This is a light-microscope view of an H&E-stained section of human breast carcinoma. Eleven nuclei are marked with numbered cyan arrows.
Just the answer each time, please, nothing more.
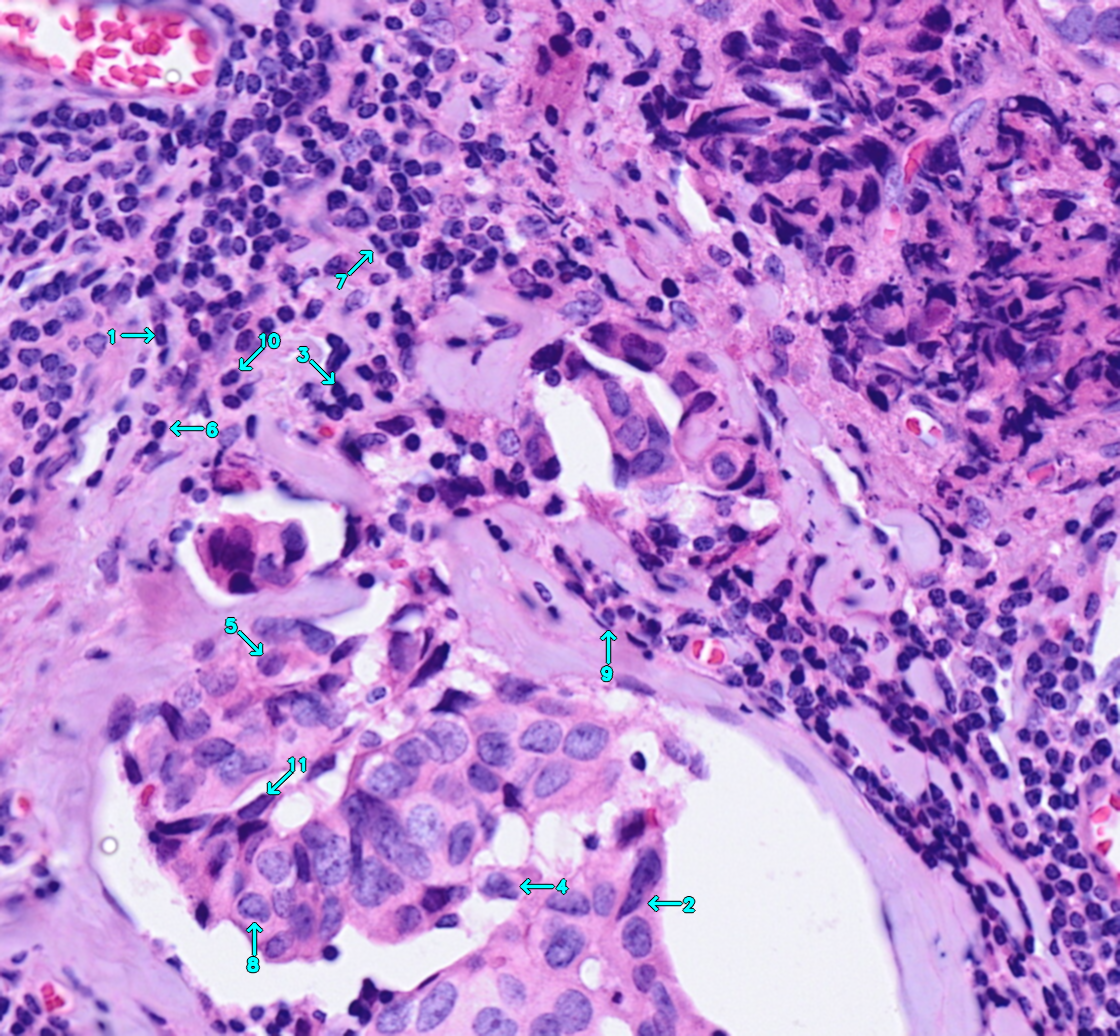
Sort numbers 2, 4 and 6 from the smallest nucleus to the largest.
6, 2, 4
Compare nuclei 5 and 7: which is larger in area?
5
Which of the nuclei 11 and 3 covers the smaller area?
3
